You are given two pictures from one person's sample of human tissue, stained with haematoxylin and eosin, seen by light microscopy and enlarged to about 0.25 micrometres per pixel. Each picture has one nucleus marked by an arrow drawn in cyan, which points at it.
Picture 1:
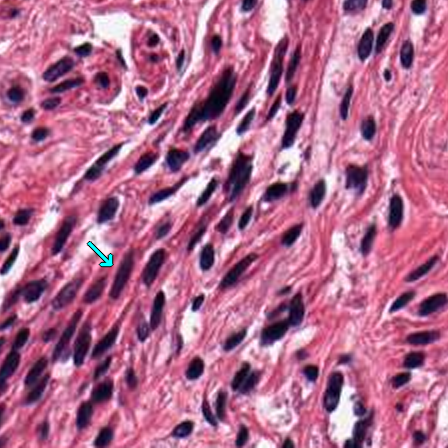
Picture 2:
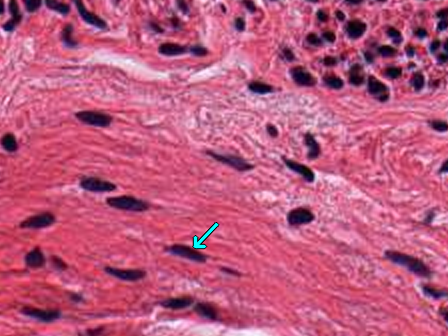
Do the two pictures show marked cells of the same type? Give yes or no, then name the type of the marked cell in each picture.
Yes, both are smooth muscle cells.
